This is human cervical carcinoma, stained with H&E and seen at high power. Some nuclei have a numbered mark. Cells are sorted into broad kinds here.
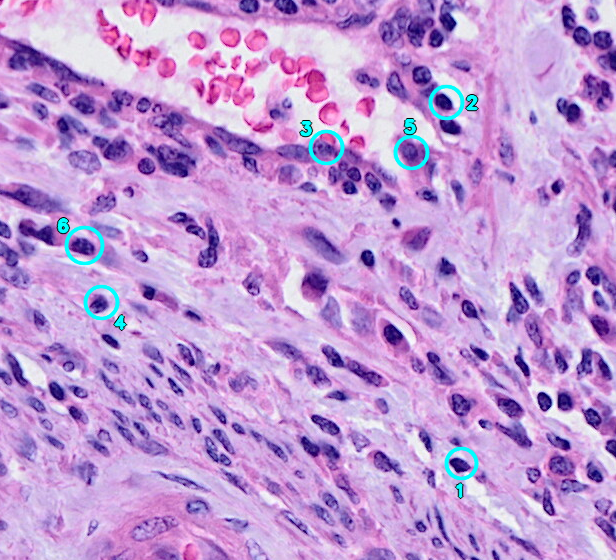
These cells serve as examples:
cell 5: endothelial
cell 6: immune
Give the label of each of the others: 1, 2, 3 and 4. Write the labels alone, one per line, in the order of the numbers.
immune
immune
endothelial
immune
